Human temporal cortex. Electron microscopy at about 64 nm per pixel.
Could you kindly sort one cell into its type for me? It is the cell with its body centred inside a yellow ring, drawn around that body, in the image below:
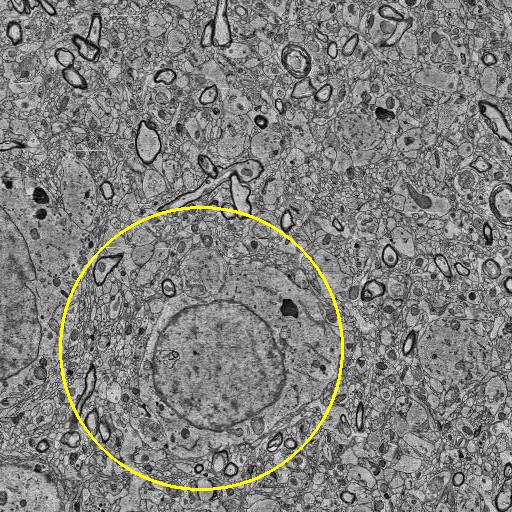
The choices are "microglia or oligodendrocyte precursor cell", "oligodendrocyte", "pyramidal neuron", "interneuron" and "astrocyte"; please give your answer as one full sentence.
The cell whose body lies centred in the yellow ring here is an interneuron.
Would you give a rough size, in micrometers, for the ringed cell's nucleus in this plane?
About 9 micrometres across, as seen in this plane.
